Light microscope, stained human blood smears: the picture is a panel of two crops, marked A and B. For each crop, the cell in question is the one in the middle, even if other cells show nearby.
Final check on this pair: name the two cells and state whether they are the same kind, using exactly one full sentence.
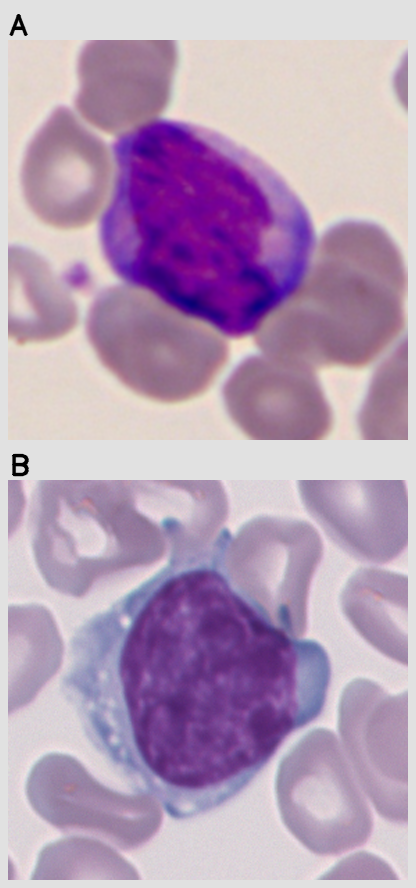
Yes, that holds, both crops show blasts.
